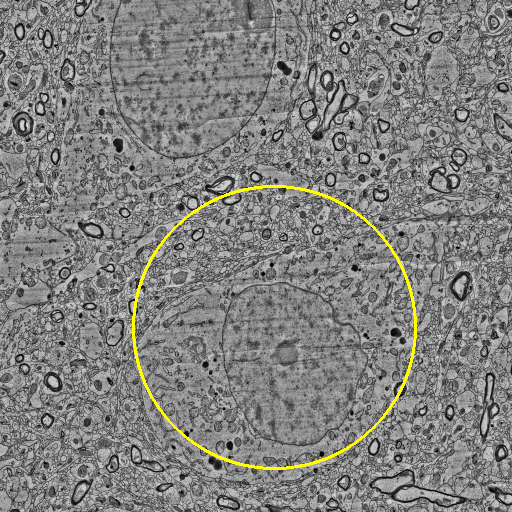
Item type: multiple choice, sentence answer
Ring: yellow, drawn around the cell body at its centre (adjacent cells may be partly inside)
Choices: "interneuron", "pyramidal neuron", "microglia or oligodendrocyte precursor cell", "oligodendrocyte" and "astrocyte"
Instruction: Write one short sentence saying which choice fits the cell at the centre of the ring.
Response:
This ring is drawn around a pyramidal neuron.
